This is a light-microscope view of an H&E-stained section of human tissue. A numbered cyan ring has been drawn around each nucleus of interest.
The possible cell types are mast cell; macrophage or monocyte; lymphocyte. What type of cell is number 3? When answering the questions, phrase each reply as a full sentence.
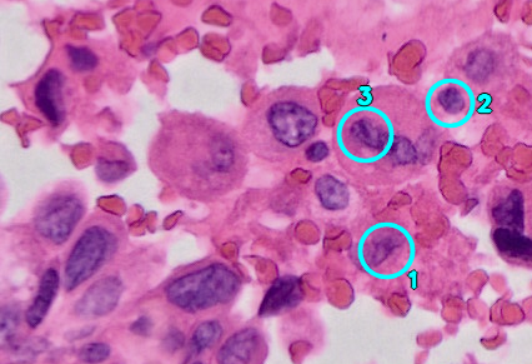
The cell bearing label 3 corresponds to a macrophage or monocyte.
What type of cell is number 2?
The mark numbered 2 indicates the nucleus of a lymphocyte.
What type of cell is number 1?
The cell referenced by the number 1 is a macrophage or monocyte in this field.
